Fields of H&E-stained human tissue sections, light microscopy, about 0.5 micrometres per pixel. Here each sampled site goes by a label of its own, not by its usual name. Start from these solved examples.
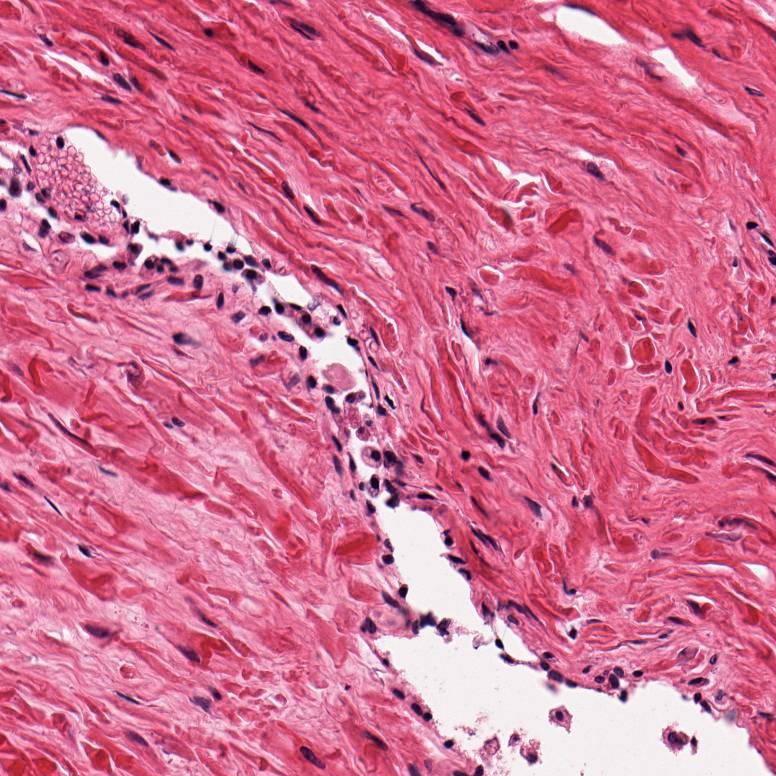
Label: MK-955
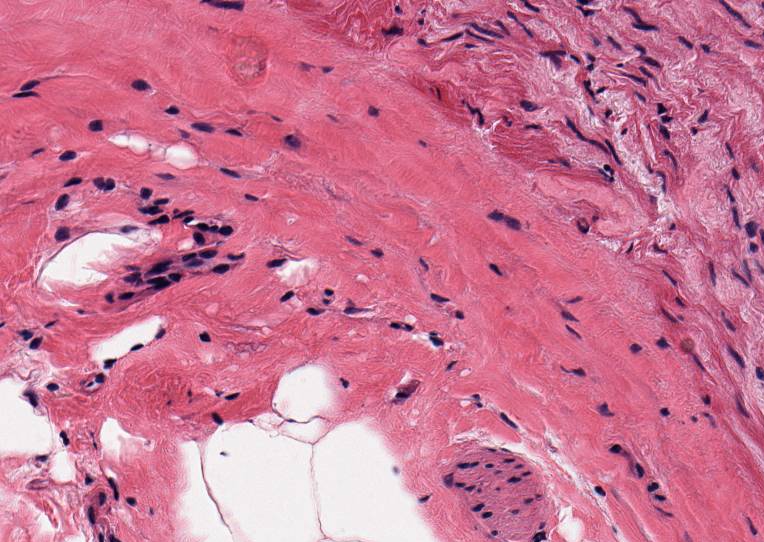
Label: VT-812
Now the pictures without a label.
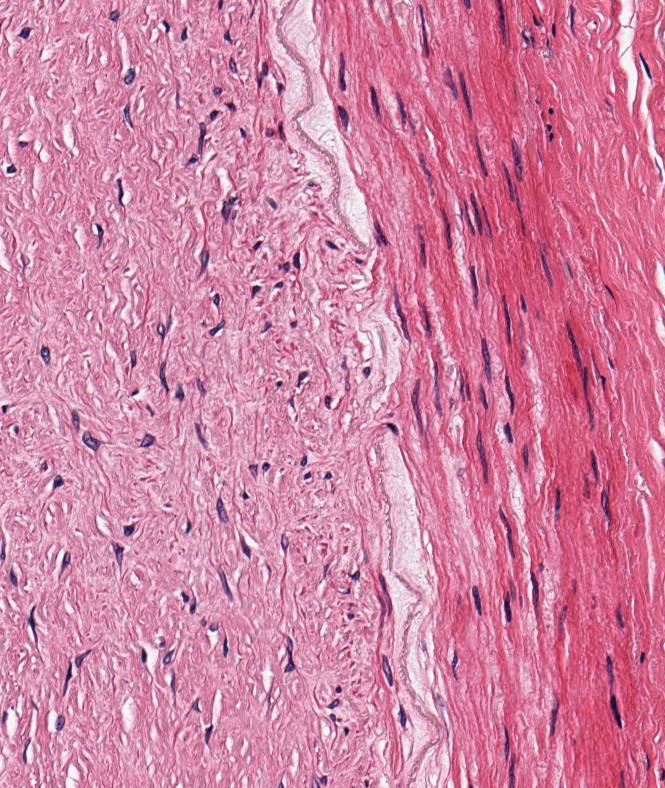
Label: VT-812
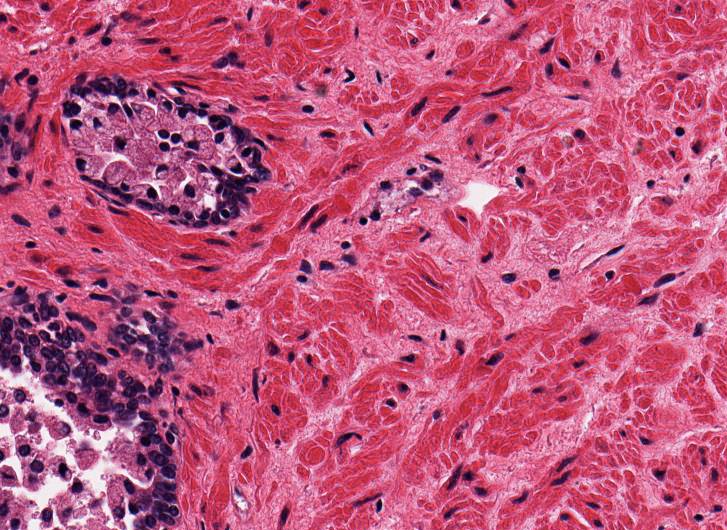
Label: MK-955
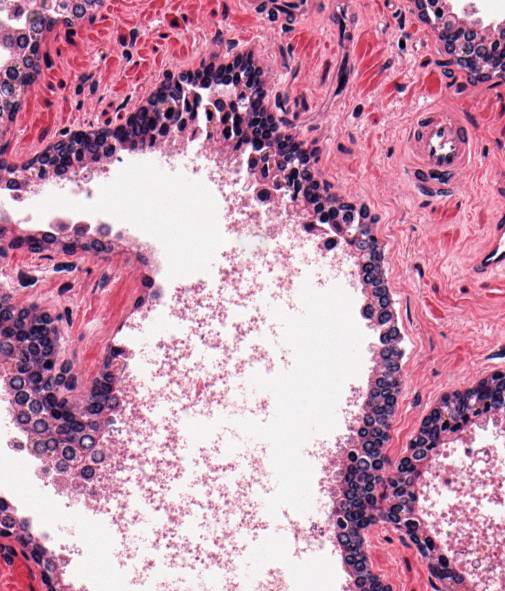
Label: MK-955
